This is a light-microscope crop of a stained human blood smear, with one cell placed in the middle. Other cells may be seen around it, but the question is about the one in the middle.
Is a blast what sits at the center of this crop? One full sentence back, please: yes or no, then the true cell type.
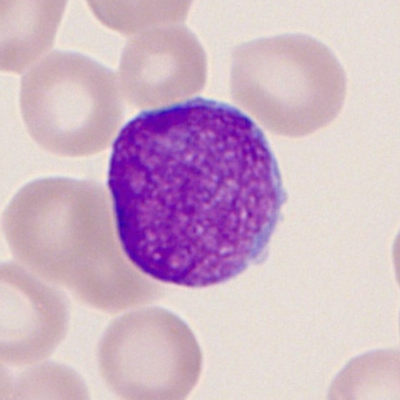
Yes, that is a blast in the middle of the crop.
